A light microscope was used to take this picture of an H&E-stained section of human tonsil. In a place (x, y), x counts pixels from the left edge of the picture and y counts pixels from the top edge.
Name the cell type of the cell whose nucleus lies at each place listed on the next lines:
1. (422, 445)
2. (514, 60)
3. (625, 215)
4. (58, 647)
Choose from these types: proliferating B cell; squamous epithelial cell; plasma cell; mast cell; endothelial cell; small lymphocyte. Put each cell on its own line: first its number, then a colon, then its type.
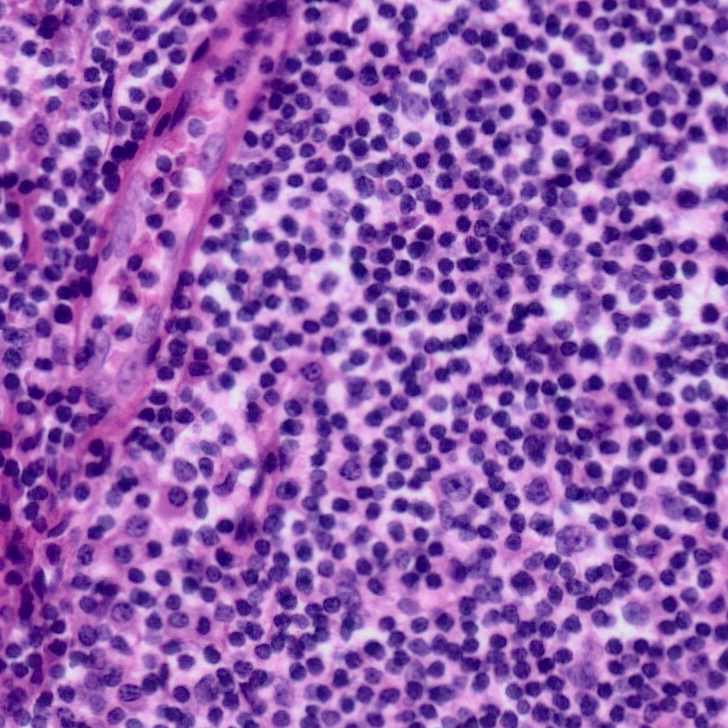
1: small lymphocyte
2: small lymphocyte
3: small lymphocyte
4: plasma cell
